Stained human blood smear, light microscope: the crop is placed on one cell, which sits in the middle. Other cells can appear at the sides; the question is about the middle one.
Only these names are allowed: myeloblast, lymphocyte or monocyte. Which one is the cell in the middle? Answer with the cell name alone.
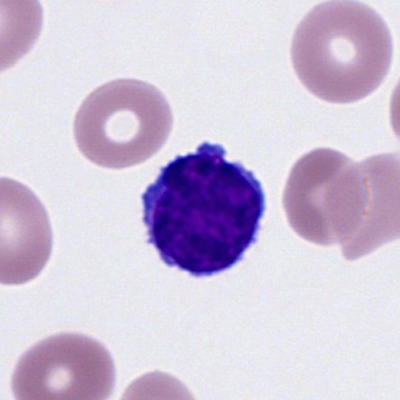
lymphocyte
